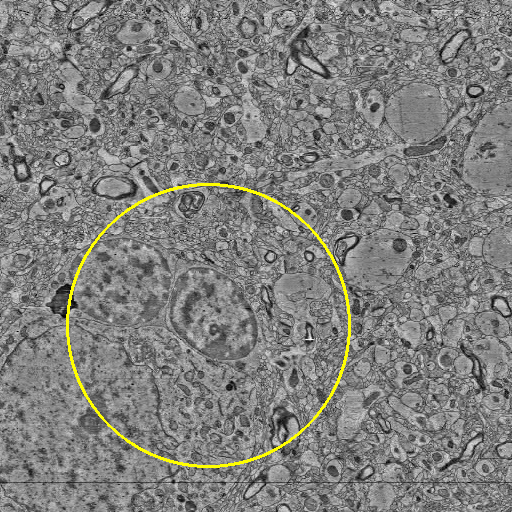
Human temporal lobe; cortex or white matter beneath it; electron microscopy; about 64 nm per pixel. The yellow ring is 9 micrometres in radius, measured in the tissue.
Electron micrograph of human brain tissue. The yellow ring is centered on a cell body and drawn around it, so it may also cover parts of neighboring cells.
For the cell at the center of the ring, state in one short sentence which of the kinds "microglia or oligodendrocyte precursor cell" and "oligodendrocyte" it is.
This ring is centered on an oligodendrocyte.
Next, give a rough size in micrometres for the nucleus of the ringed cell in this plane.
About 7 by 5 micrometers, in this plane.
